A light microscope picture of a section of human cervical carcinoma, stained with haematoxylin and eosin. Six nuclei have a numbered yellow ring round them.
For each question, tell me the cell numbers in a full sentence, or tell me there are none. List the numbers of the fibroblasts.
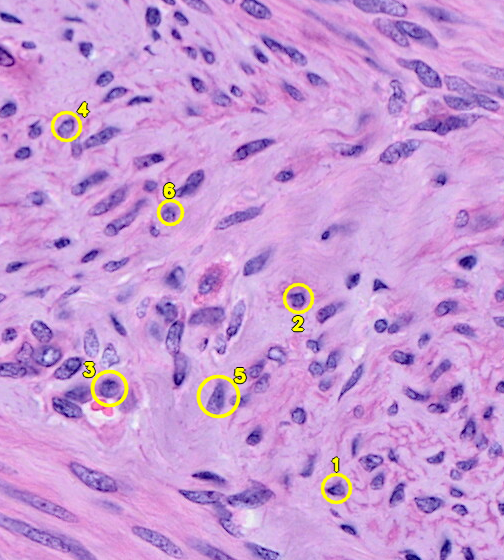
The cell labelled 5 is a fibroblast, while the remaining numbered cells are not.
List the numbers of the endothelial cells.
Only the cell with number 3 is an endothelial cell.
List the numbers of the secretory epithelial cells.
Answering directly: no secretory epithelial cells are among the numbered cells.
